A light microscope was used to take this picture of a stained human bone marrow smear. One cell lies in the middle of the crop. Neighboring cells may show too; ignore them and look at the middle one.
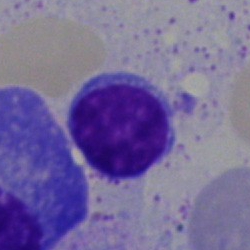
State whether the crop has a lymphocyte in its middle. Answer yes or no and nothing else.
yes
